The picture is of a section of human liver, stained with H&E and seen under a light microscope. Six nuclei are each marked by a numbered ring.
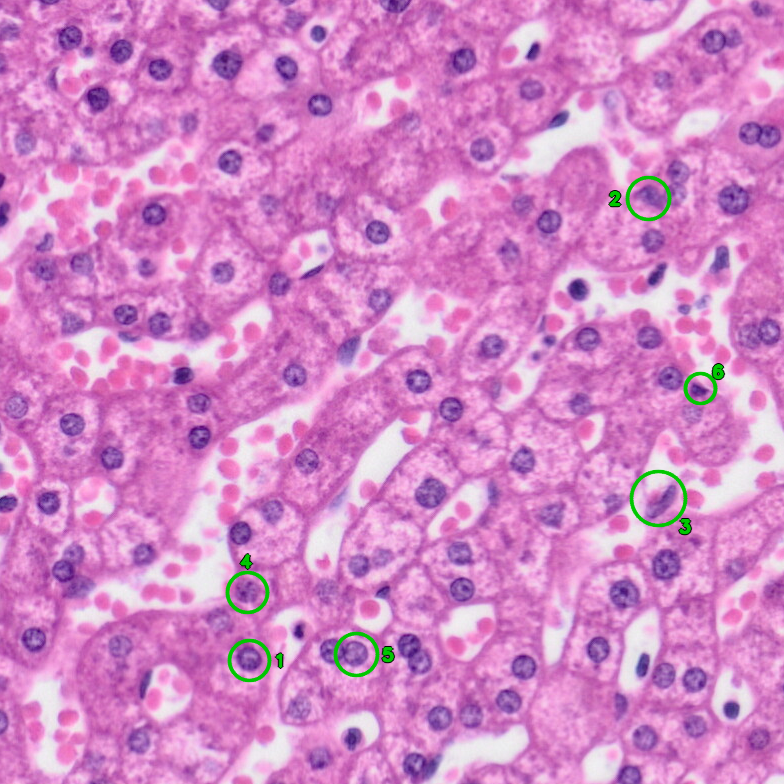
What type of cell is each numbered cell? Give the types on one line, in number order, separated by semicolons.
hepatocyte; fibroblast or stellate cell; Kupffer cell; hepatocyte; hepatocyte; fibroblast or stellate cell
